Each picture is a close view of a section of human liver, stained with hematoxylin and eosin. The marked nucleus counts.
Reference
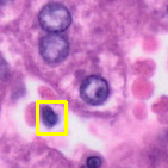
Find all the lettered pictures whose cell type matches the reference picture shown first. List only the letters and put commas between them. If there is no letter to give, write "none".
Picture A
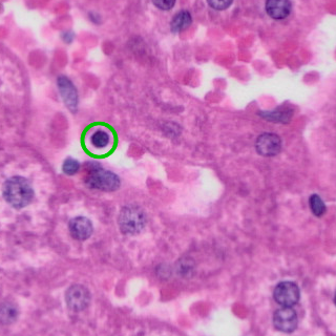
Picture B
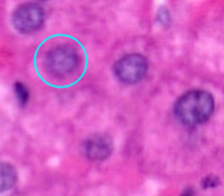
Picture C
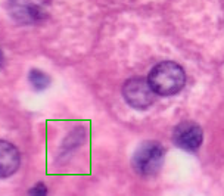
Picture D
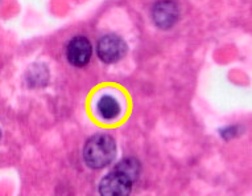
A, D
